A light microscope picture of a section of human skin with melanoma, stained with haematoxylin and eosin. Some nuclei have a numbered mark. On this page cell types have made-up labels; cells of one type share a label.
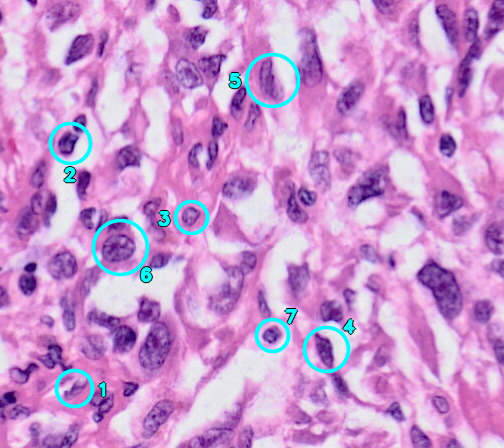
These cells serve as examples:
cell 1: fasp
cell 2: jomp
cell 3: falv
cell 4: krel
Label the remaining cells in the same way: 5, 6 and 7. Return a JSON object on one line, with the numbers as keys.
{"5": "krel", "6": "krel", "7": "jomp"}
